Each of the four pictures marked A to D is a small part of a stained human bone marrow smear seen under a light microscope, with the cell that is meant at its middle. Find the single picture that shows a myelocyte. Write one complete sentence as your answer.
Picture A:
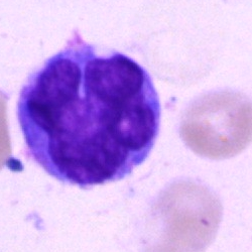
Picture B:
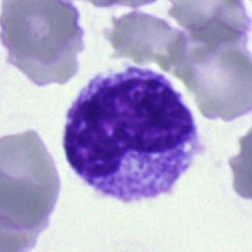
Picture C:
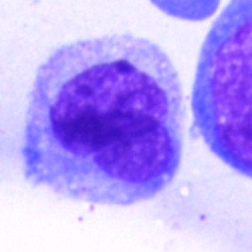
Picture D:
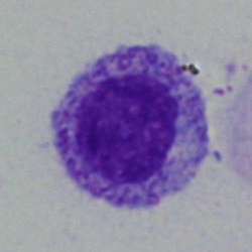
The myelocyte is the one in picture D.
